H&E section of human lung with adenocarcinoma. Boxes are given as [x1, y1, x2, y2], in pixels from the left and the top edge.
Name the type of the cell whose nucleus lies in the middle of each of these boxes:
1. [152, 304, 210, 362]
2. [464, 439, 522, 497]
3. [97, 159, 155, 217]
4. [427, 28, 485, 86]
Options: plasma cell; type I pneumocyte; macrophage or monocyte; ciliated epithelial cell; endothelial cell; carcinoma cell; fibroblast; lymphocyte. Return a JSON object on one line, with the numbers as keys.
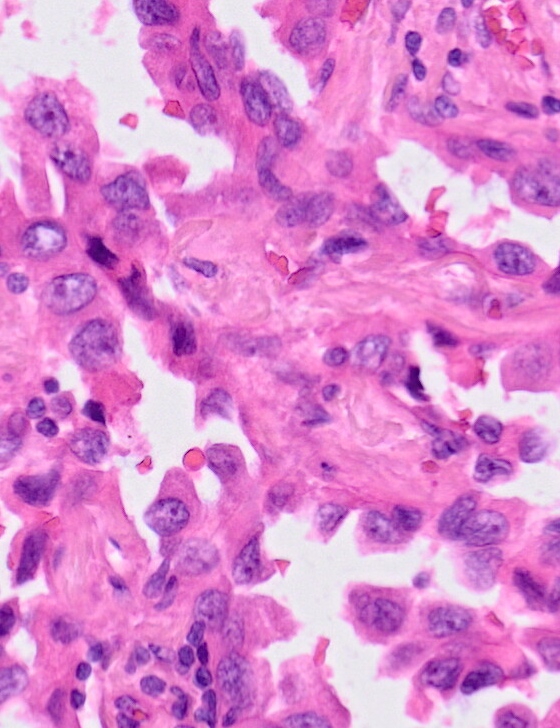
{"1": "carcinoma cell", "2": "carcinoma cell", "3": "carcinoma cell", "4": "lymphocyte"}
